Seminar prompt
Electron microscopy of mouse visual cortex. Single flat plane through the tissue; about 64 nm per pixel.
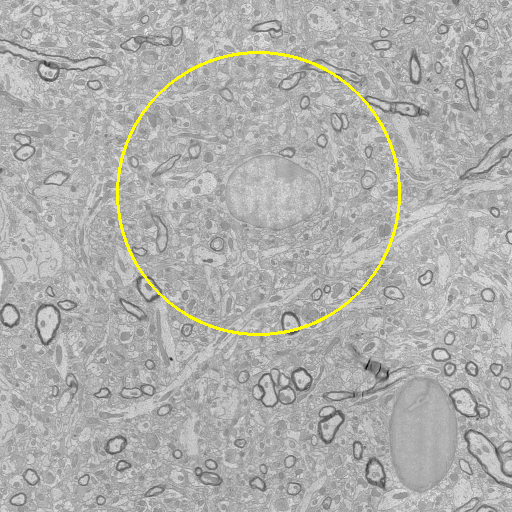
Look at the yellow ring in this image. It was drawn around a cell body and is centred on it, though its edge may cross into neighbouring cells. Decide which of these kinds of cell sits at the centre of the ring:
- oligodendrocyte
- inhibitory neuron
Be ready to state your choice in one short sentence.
The kind of cell at the ring's centre is an oligodendrocyte.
